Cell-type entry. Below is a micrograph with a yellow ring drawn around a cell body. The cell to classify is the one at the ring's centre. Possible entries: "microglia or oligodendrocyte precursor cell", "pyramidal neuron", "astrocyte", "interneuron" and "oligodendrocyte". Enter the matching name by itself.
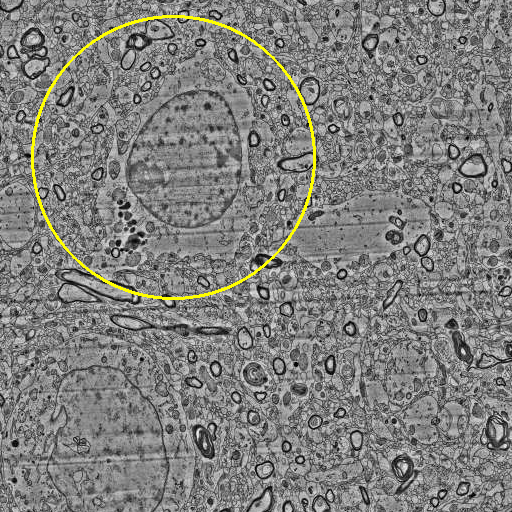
astrocyte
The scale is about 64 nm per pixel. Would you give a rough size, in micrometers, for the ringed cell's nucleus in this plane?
Roughly 9 micrometres by 7 micrometres, in this plane.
